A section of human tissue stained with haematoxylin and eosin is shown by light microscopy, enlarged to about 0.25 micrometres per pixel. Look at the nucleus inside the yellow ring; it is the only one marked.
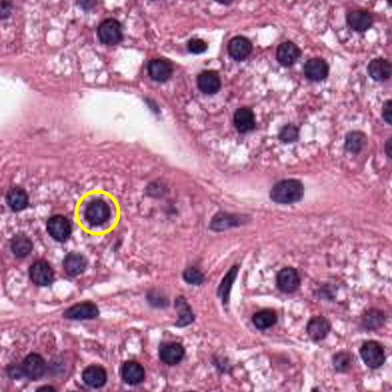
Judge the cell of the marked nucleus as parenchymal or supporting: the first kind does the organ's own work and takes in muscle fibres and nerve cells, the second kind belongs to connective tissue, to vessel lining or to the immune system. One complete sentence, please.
Seen here, the marked nucleus belongs to a parenchymal cell, namely an adrenal cortical cell.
